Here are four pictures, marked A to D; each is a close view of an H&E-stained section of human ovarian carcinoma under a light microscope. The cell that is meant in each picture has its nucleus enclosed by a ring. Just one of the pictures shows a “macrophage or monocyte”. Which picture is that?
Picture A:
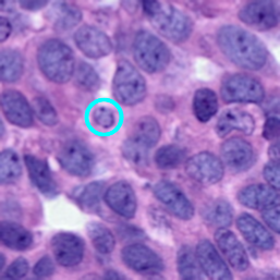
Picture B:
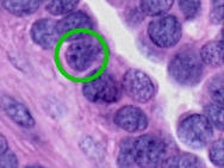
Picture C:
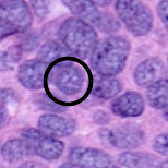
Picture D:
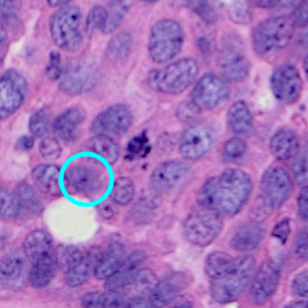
A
